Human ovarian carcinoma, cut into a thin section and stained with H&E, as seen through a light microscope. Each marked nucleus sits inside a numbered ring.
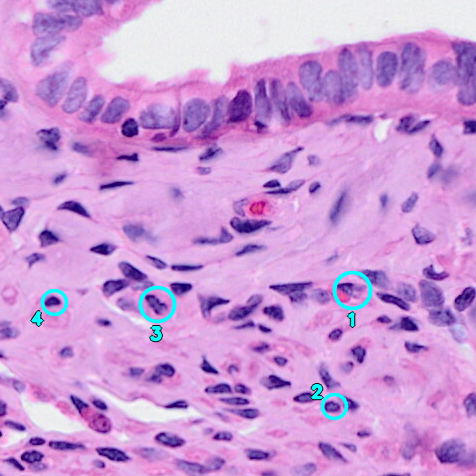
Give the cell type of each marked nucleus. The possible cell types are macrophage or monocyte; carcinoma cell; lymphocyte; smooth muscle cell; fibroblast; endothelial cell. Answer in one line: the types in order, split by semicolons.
endothelial cell; smooth muscle cell; endothelial cell; smooth muscle cell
